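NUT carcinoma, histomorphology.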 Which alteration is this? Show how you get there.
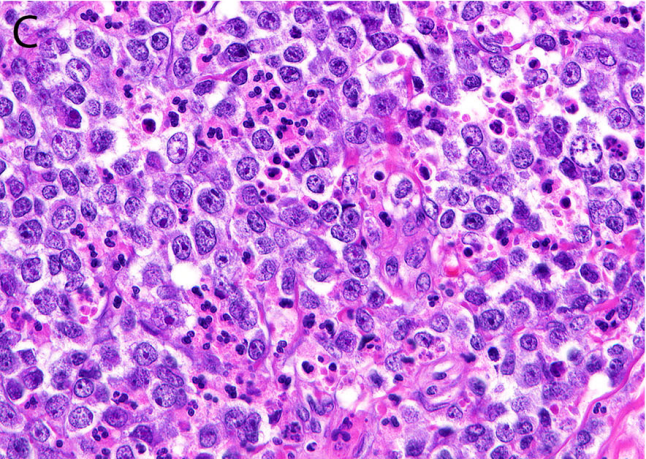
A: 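Many small cells with dark multilobed nuclei scattered among larger tumour cells. These small cells lie within the tumour sheet.
Answer: intratumoral neutrophilic inflammatory infiltrate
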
